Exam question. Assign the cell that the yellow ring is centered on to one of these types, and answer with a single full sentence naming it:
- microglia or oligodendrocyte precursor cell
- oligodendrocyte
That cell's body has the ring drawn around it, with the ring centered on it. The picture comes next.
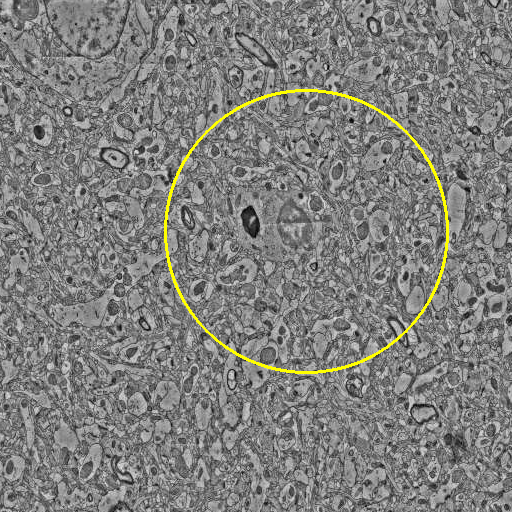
In the micrograph, the cell the yellow ring is centered on is an oligodendrocyte.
